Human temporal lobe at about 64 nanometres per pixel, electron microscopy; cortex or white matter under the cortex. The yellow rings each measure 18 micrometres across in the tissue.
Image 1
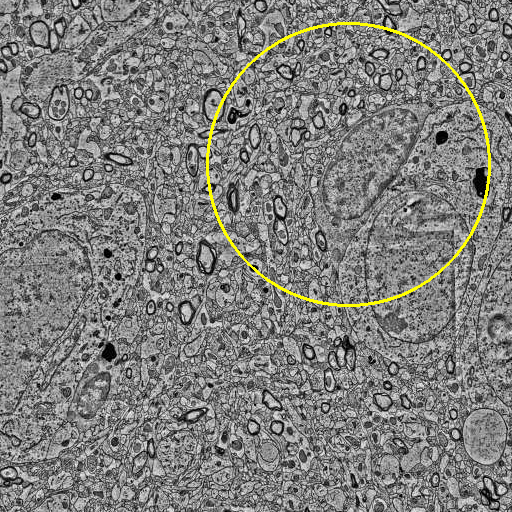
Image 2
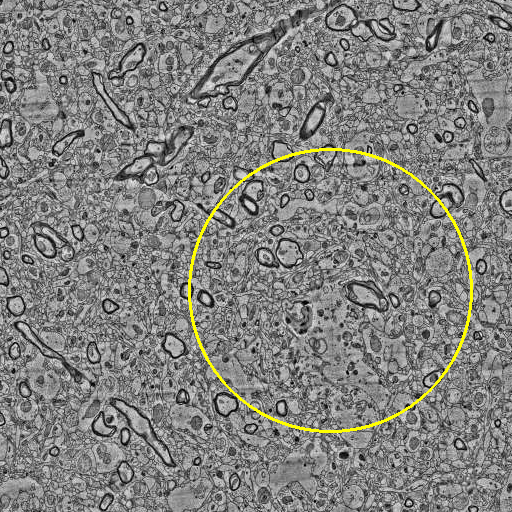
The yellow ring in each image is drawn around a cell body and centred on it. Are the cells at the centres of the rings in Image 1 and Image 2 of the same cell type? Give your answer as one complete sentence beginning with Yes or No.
No, the two cells are of two separate types.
